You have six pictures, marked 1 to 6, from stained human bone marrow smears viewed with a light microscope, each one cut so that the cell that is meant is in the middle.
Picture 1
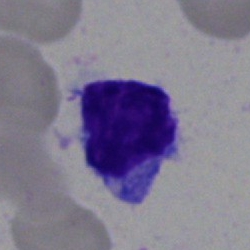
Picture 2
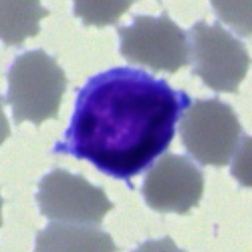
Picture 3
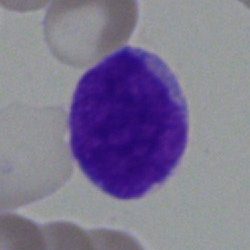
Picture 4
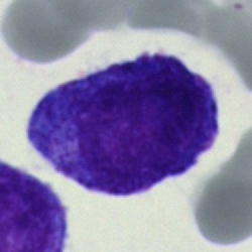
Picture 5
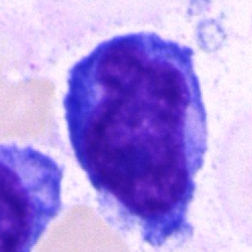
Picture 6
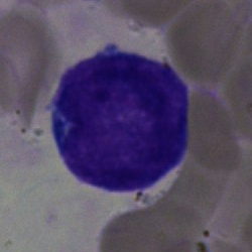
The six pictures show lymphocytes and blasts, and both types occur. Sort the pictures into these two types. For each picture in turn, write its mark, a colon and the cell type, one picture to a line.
1: lymphocyte
2: lymphocyte
3: blast
4: blast
5: blast
6: blast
